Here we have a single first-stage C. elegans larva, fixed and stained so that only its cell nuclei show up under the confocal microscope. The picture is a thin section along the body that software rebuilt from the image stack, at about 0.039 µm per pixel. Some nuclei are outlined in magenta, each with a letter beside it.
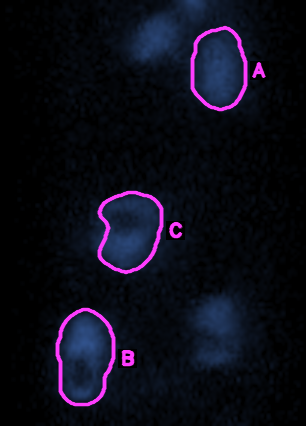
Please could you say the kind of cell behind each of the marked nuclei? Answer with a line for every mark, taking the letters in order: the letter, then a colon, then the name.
A: seam cell
B: hypodermal cell (hyp)
C: intestinal cell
